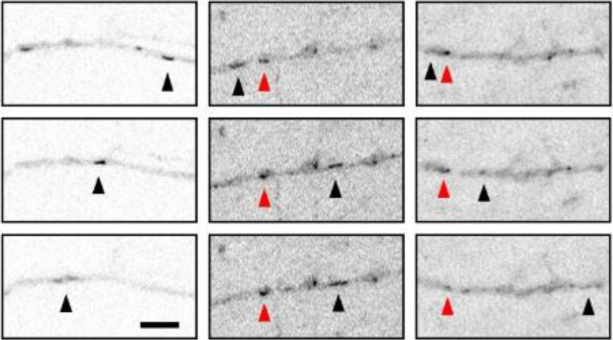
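Black arrowheads follow a punctum that shifts to a new place along the axon from one frame to the next. Red arrowheads mark a punctum that stays at the same place through the frames. The background of the middle and right columns is grainier than that of the left column.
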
